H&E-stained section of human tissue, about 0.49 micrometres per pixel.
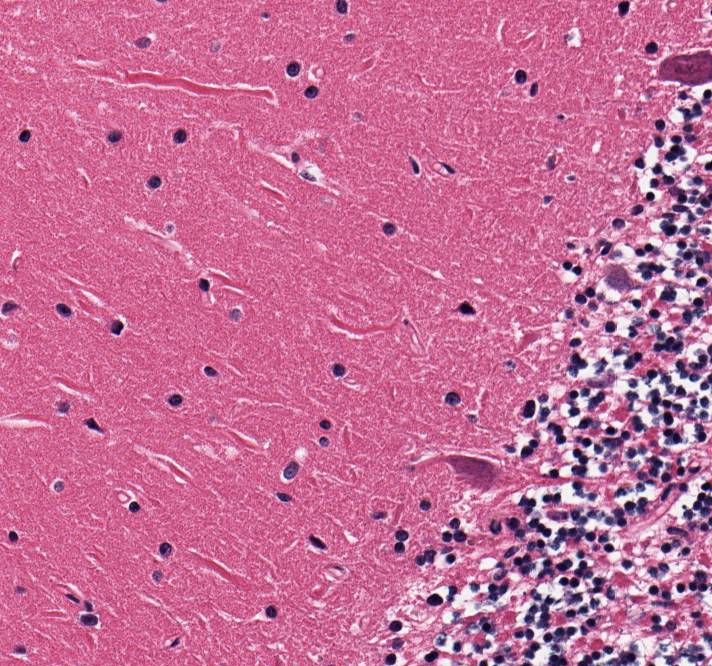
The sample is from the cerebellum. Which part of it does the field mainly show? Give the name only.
molecular layer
